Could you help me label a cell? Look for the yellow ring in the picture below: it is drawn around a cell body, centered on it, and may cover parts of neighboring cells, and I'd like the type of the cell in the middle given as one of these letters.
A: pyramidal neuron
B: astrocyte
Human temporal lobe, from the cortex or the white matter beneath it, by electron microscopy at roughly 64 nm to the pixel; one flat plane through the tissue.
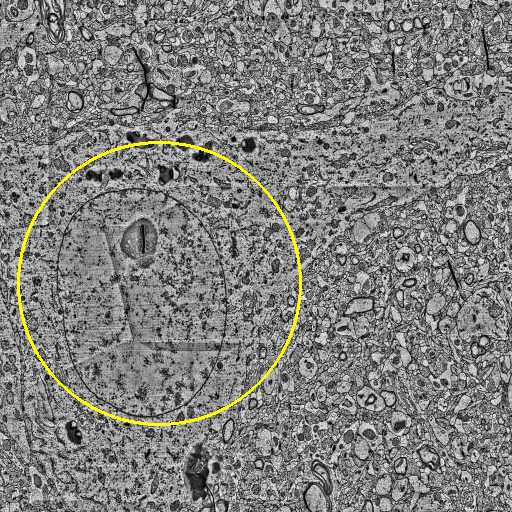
A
